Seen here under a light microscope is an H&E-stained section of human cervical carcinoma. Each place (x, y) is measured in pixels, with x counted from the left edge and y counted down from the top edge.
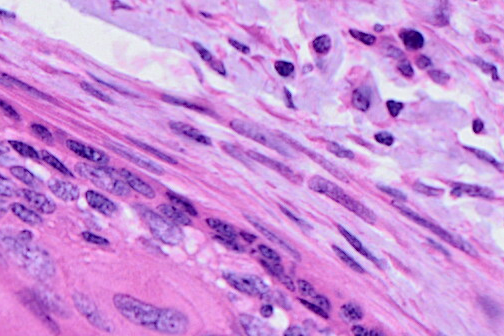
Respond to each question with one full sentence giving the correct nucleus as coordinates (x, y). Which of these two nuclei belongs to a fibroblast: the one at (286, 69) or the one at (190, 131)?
Of the two options, the nucleus at (190, 131) is the one that belongs to a fibroblast.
